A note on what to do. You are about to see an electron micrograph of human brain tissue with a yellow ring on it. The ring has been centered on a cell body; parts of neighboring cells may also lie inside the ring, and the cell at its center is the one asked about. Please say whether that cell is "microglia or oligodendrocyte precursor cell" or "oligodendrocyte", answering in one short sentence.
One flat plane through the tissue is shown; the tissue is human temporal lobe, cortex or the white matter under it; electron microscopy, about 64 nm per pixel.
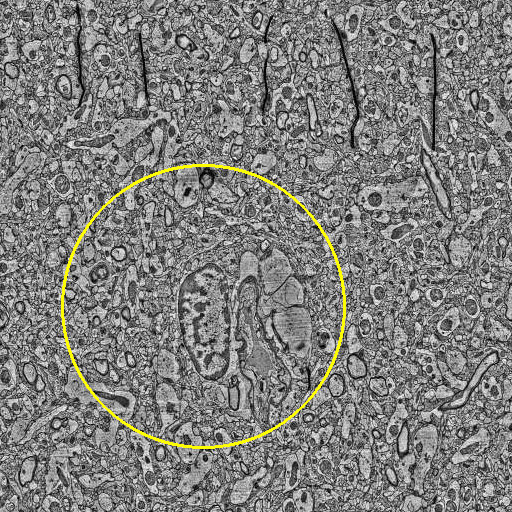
The yellow ring sits on a microglial cell or oligodendrocyte precursor cell.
